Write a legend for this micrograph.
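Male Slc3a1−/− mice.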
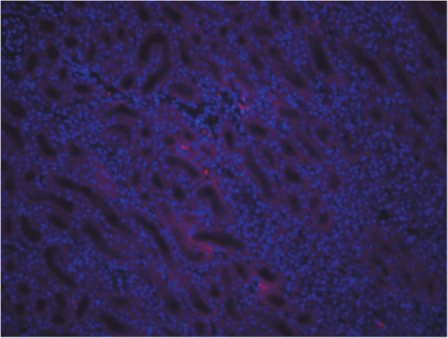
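This section of kidney shows tubules seen as dark, unstained lumens and channels surrounded by densely packed blue nuclei of the lining epithelial cells and neighbouring tissue. Tubules are cut in round and elongated profiles.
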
